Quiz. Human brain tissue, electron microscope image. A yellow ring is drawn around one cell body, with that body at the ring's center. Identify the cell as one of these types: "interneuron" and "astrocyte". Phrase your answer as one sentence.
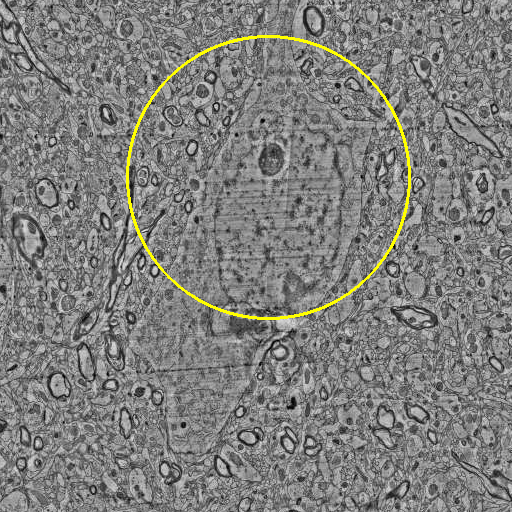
At the center of the ring sits an interneuron.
